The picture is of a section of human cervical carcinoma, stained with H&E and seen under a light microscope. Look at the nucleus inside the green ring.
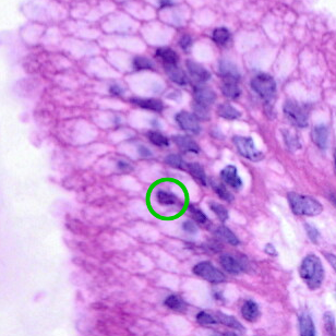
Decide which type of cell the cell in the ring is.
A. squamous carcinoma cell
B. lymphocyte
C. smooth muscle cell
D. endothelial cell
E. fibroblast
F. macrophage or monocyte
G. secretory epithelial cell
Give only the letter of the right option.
G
